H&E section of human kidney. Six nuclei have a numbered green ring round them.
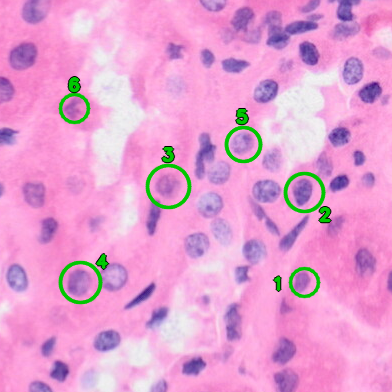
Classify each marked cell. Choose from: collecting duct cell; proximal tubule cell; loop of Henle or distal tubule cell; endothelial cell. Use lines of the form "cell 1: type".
cell 1: proximal tubule cell
cell 2: loop of Henle or distal tubule cell
cell 3: proximal tubule cell
cell 4: proximal tubule cell
cell 5: loop of Henle or distal tubule cell
cell 6: proximal tubule cell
